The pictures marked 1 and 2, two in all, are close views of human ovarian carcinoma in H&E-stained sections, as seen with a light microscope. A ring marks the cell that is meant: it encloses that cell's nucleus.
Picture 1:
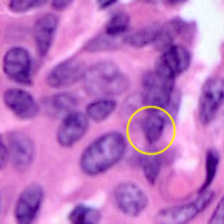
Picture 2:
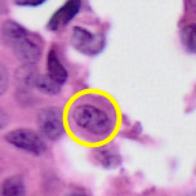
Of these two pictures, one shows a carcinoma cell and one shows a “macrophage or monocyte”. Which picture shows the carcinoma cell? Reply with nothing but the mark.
1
